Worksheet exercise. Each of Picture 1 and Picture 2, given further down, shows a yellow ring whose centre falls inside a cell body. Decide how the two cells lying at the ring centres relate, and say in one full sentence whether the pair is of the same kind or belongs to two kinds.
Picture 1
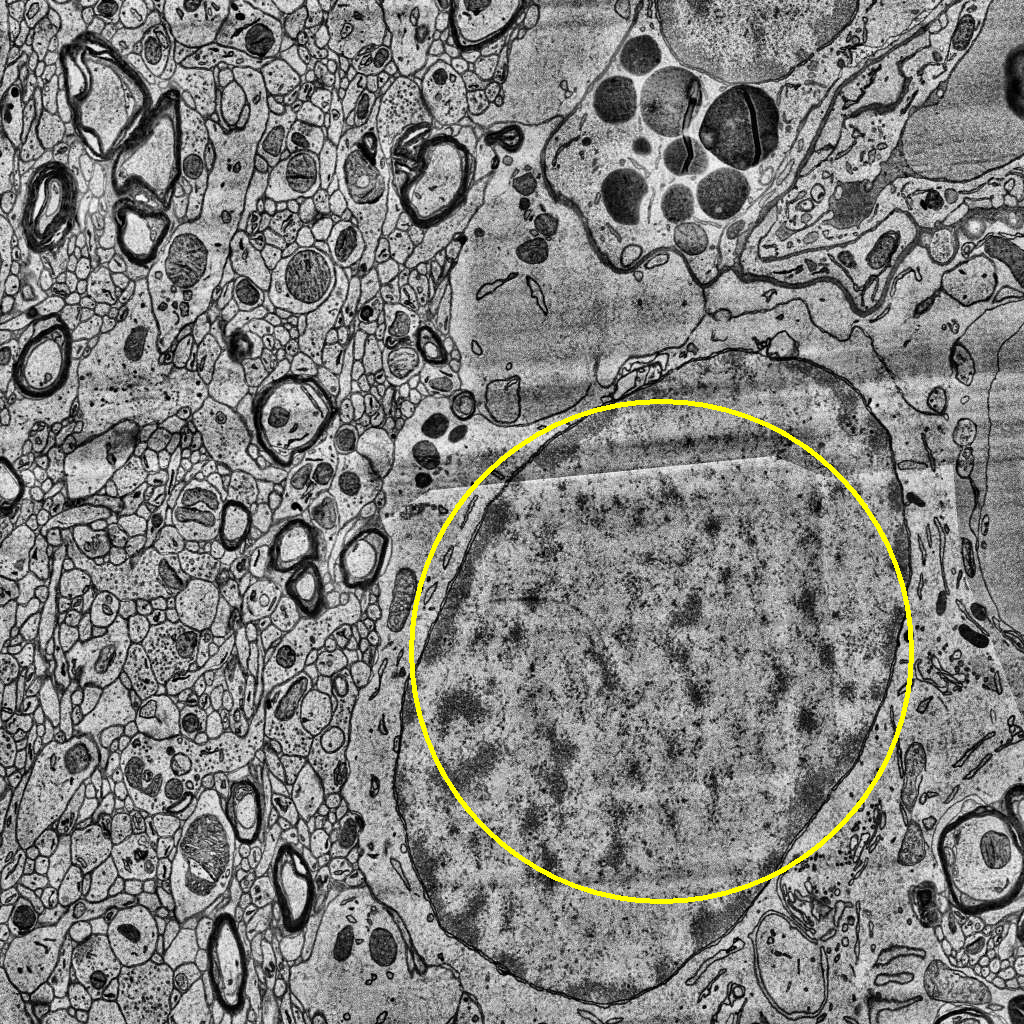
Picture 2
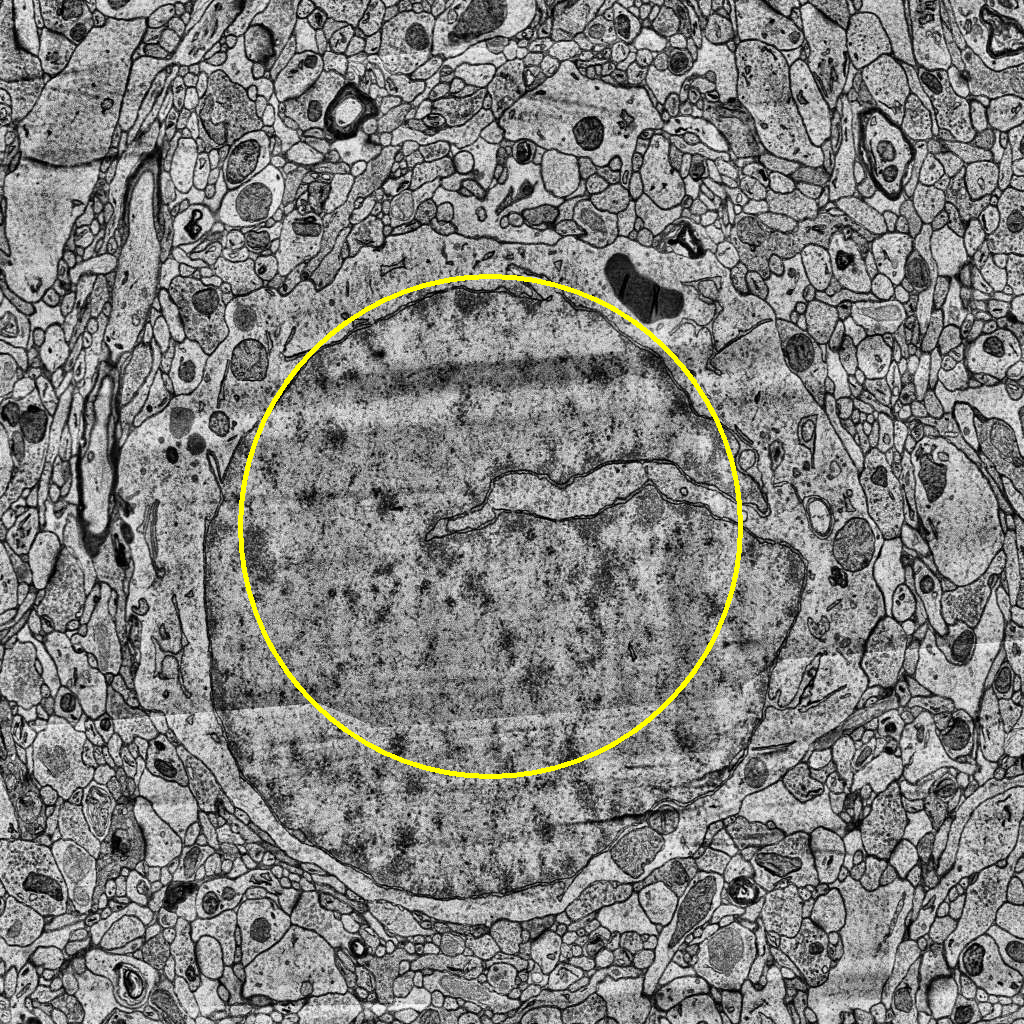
The cells at the ring centres in Picture 1 and Picture 2 belong to two kinds.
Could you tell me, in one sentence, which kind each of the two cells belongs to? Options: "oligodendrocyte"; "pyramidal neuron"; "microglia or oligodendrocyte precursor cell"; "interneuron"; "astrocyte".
In the first picture we have a microglial cell or oligodendrocyte precursor cell, and in the second, an interneuron.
